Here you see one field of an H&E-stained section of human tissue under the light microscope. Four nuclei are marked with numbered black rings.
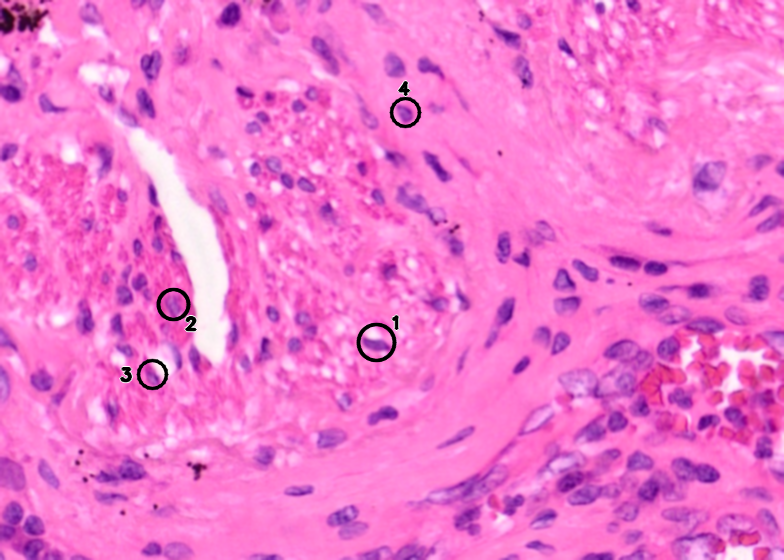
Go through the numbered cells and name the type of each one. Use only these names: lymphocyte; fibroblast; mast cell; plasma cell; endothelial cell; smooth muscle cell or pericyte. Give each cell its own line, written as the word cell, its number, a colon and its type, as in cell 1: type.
cell 1: smooth muscle cell or pericyte
cell 2: smooth muscle cell or pericyte
cell 3: smooth muscle cell or pericyte
cell 4: mast cell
